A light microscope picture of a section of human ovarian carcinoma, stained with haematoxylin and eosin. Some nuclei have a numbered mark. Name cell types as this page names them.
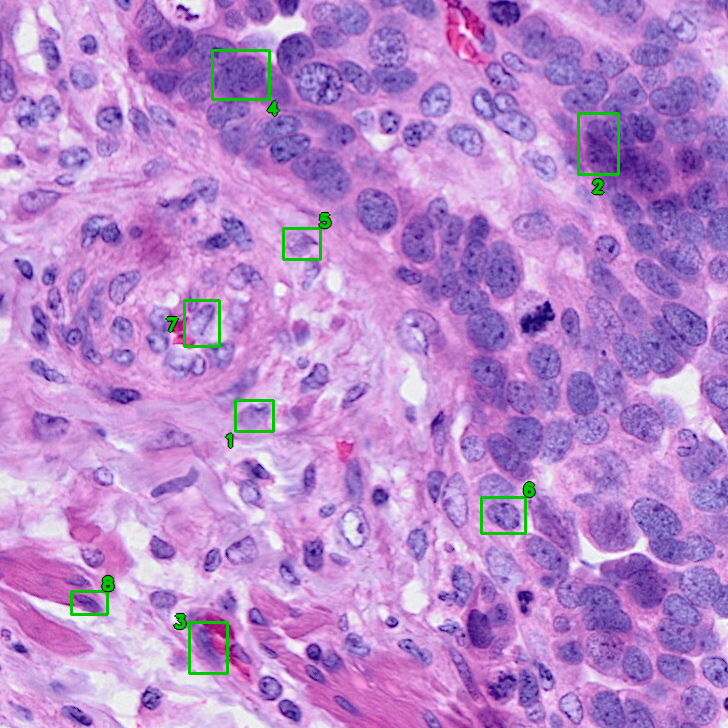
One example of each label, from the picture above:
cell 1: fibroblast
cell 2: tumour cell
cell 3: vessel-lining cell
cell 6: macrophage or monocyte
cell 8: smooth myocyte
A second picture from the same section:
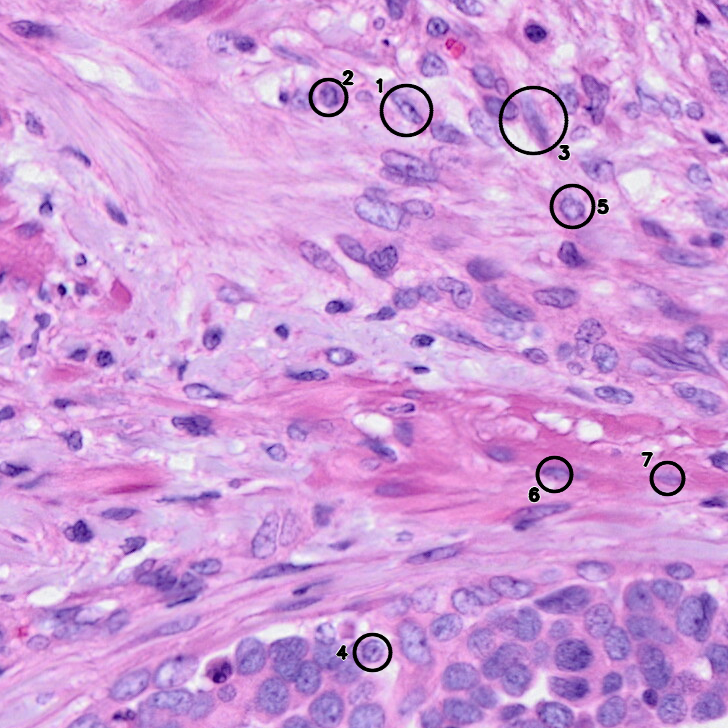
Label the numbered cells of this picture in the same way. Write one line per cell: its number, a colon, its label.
1: fibroblast
2: macrophage or monocyte
3: fibroblast
4: macrophage or monocyte
5: fibroblast
6: smooth myocyte
7: smooth myocyte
